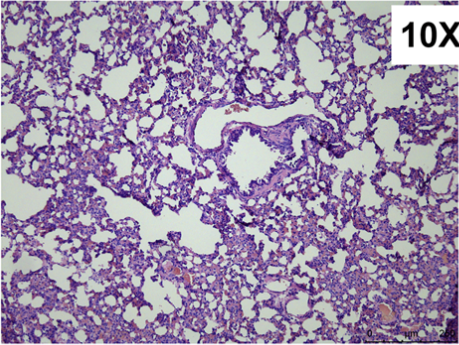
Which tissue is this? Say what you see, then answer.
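Many thin-walled, empty, rounded air spaces fill the field. The air spaces are separated by thin purple-staining septa. A larger airway or vessel with a thicker wall lies near the centre. On this evidence: lung tissues.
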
